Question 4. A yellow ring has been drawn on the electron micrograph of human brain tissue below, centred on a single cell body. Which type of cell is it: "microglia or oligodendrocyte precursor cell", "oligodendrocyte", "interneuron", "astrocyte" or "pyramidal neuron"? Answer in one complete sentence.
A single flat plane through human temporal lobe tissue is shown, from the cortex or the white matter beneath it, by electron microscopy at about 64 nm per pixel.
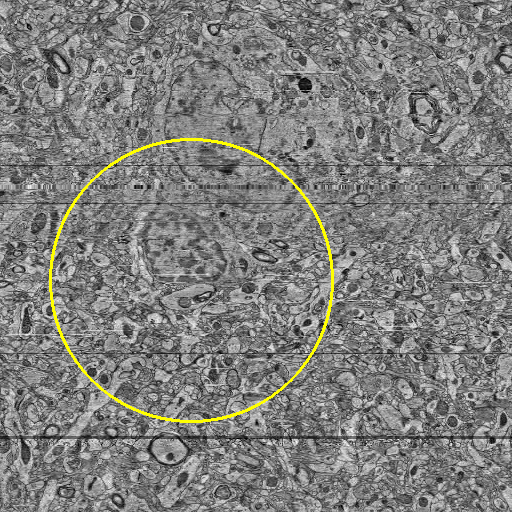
This cell body belongs to an oligodendrocyte.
